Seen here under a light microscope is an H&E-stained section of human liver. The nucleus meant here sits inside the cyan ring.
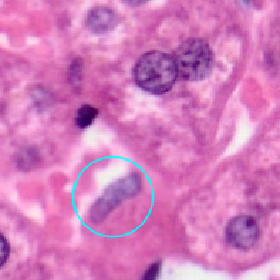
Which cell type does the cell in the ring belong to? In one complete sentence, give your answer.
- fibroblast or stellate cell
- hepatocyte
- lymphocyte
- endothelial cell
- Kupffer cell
In terms of identity, the cell in the ring is a Kupffer cell.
